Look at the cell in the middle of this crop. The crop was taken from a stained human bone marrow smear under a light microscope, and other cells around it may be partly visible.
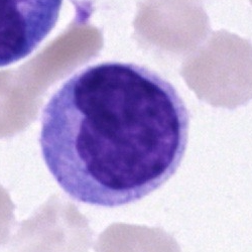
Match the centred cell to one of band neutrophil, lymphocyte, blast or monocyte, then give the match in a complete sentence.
The middle of this crop is occupied by a monocyte.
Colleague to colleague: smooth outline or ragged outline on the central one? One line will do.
Worth noting that the cell border is smooth and lacks projections.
